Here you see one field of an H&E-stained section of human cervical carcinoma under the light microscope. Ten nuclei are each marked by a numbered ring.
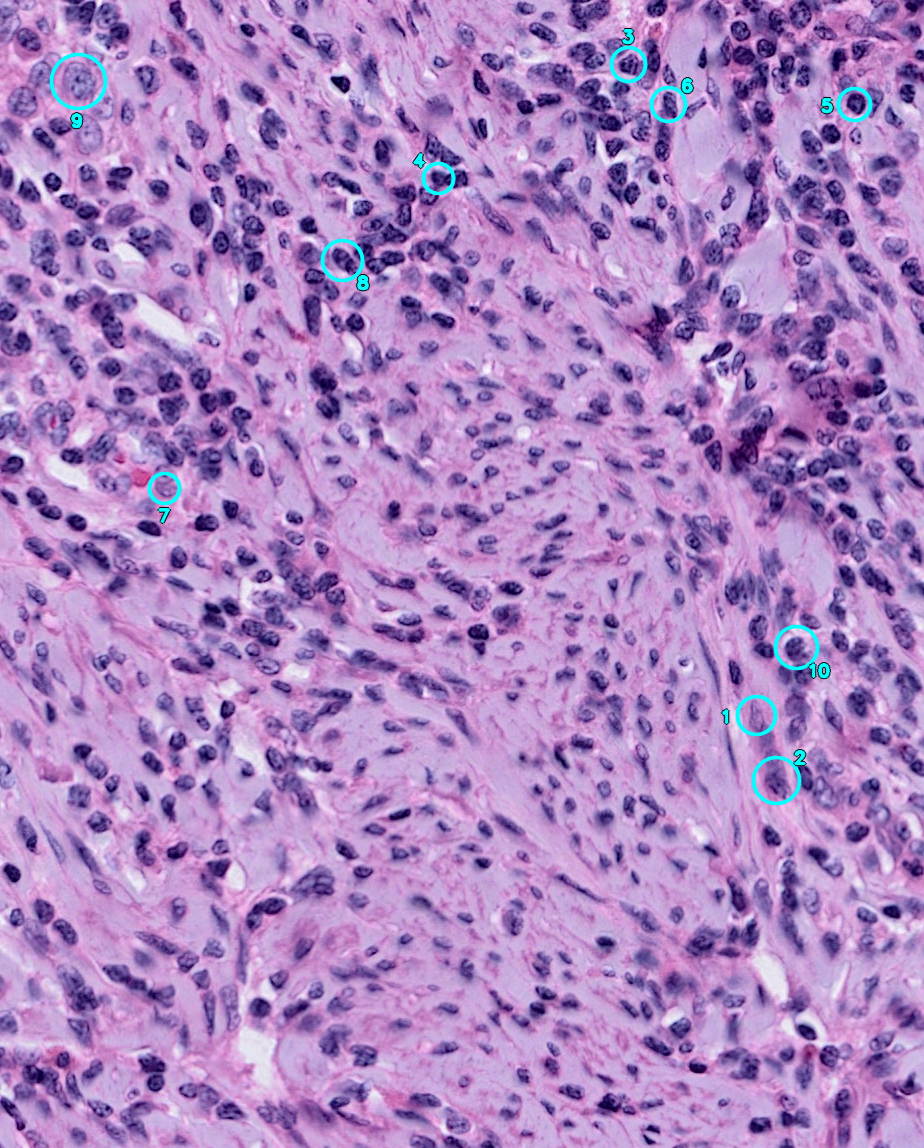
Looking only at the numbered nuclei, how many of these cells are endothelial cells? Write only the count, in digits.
4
